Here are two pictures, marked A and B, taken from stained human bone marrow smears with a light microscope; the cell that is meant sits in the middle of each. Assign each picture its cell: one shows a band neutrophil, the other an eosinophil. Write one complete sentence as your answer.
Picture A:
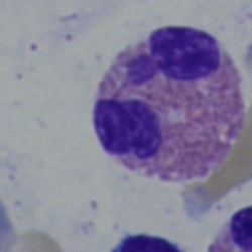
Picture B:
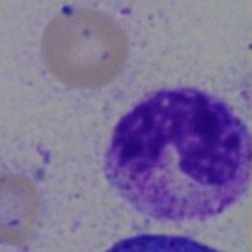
It is picture A that shows an eosinophil, and picture B that shows a band neutrophil.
